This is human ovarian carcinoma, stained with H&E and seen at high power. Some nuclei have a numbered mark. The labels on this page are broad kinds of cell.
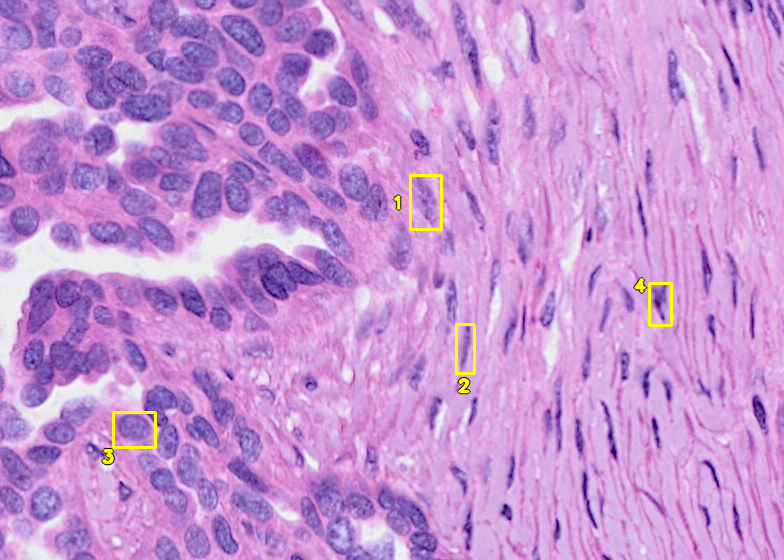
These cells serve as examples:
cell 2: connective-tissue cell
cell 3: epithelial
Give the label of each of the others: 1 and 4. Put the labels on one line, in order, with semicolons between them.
connective-tissue cell; connective-tissue cell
